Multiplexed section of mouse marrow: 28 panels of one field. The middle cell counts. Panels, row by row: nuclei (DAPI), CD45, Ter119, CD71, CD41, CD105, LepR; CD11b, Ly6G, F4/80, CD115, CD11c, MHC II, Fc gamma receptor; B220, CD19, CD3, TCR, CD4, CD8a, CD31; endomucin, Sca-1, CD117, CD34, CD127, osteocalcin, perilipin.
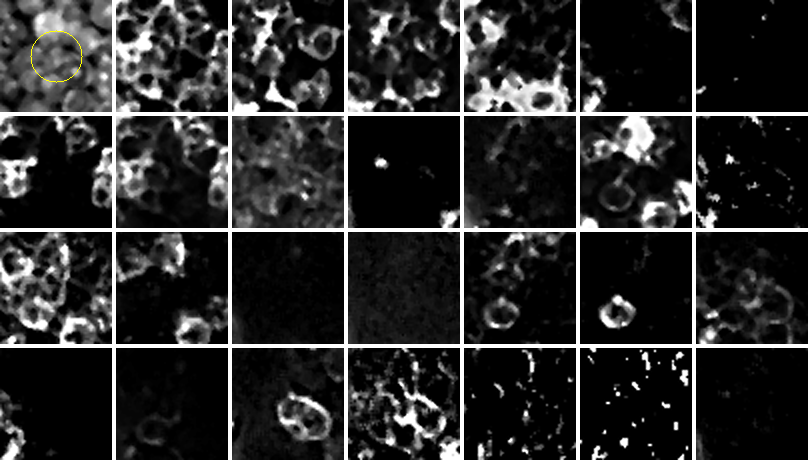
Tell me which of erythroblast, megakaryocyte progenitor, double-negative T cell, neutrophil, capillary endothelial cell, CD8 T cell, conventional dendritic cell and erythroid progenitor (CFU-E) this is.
The picture shows an erythroid progenitor (CFU-E).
